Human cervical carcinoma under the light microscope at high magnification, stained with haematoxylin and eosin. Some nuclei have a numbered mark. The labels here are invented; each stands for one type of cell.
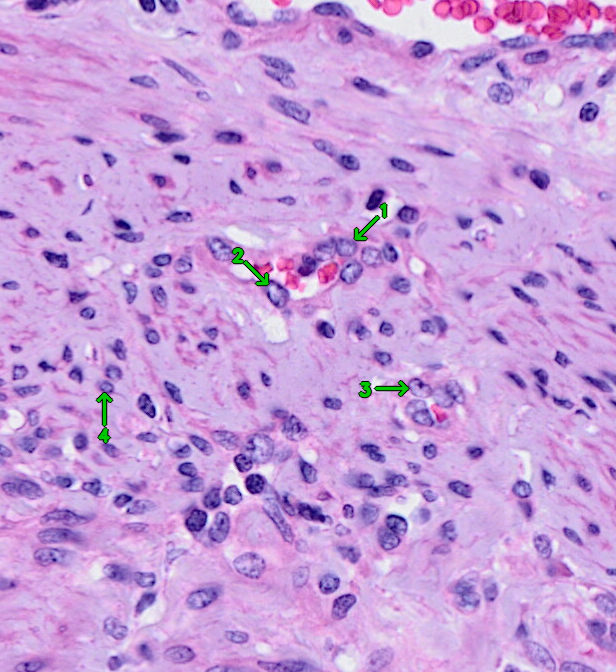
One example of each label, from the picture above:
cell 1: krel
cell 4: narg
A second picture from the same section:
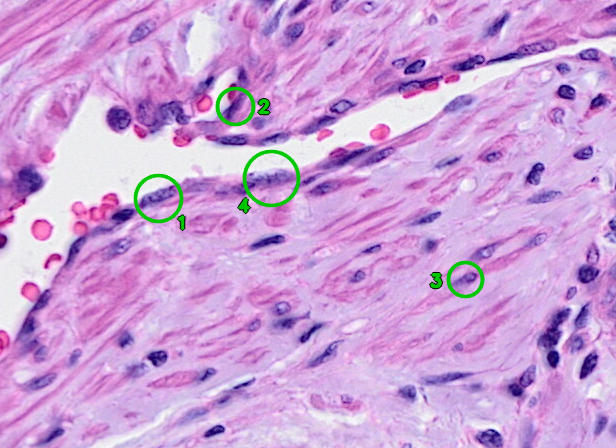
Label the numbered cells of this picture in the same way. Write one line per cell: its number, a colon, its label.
1: krel
2: krel
3: narg
4: krel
